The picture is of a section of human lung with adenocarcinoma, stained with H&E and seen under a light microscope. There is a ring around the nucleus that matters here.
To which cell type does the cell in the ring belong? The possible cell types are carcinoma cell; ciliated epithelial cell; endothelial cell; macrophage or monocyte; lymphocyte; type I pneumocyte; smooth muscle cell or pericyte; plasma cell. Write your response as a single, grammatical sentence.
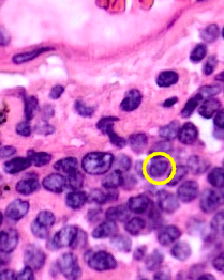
Right, so the cell in the ring is a lymphocyte, to answer that.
